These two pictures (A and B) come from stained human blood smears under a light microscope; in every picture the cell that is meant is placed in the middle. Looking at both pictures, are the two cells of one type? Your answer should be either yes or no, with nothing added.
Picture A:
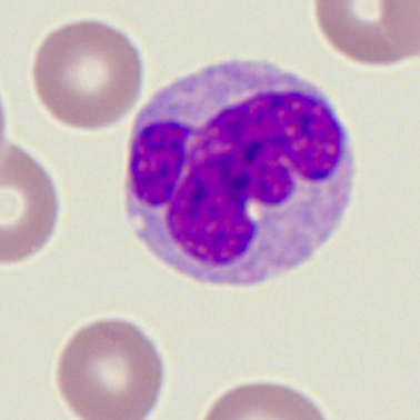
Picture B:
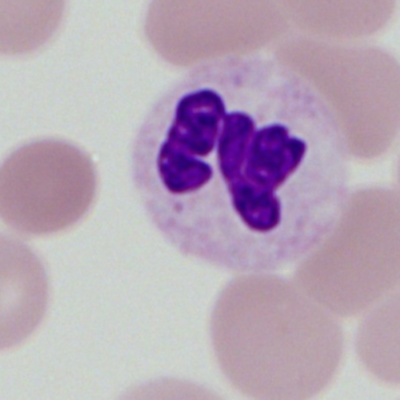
no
